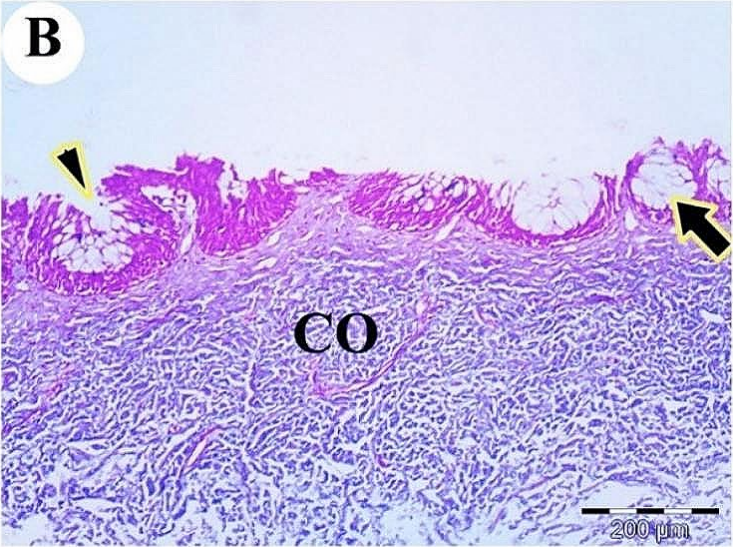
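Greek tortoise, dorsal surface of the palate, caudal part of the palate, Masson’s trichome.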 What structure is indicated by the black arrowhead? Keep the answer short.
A: Gland orifices.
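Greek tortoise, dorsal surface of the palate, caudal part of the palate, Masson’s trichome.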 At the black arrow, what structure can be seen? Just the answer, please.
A: Mucous gland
